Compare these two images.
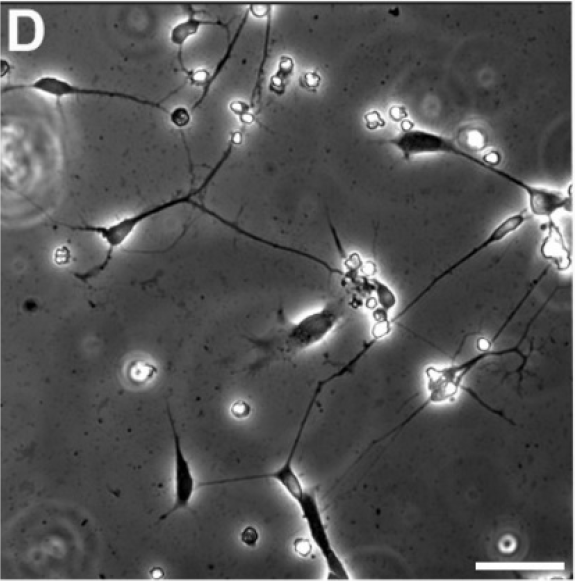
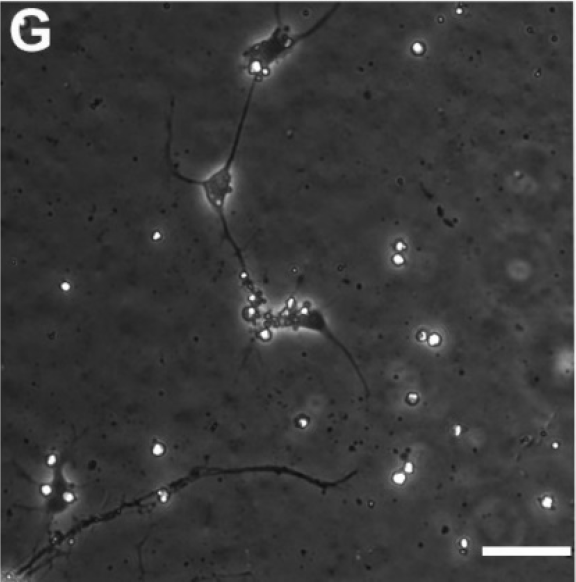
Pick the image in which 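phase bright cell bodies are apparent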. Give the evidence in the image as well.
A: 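Second image: the few cell bodies are dim and flat, with thin processes. First image: several cell bodies stand out with bright refractile halos.
Conclusion: the first image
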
